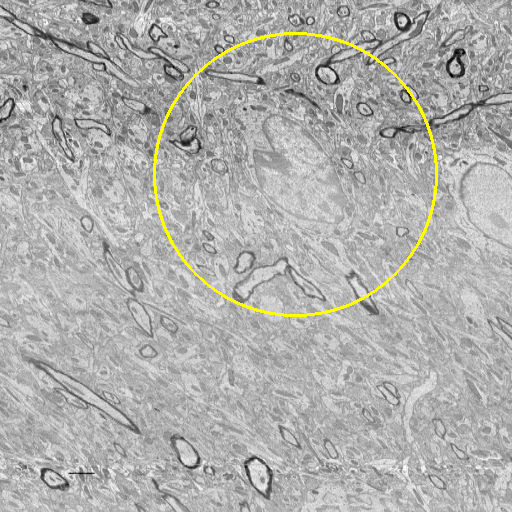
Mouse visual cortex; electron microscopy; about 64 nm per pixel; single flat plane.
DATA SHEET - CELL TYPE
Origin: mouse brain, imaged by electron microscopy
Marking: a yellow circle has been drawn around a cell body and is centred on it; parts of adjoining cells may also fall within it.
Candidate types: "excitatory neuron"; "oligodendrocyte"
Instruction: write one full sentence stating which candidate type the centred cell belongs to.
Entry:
The cell body at the centre of the yellow ring in this micrograph belongs to an oligodendrocyte.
